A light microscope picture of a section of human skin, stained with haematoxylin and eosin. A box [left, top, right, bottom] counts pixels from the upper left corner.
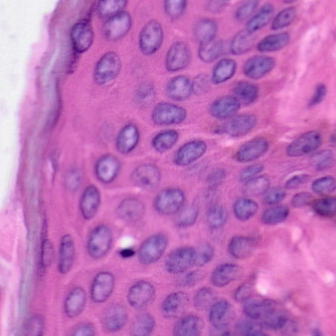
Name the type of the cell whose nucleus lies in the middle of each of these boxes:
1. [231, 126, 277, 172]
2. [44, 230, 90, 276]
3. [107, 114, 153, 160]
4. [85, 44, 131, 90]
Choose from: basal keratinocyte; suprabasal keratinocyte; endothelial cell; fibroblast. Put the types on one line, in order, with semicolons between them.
basal keratinocyte; suprabasal keratinocyte; suprabasal keratinocyte; suprabasal keratinocyte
